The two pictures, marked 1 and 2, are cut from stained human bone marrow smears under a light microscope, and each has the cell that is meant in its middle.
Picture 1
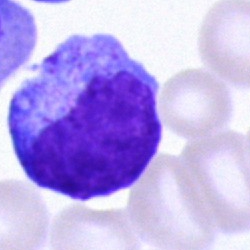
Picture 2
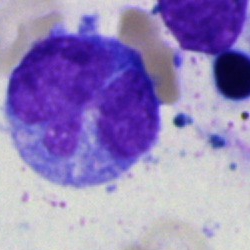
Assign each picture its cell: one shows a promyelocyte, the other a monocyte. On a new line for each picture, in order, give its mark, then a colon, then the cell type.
1: promyelocyte
2: monocyte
